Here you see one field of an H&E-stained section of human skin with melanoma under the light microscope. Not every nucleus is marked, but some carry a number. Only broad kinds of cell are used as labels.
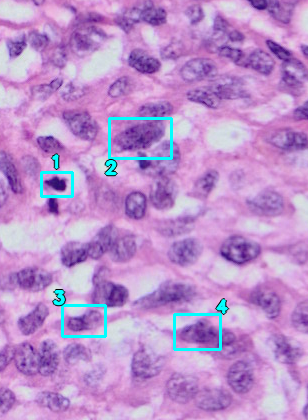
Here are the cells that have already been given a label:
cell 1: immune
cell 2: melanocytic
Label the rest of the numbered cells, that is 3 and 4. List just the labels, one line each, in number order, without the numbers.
melanocytic
melanocytic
